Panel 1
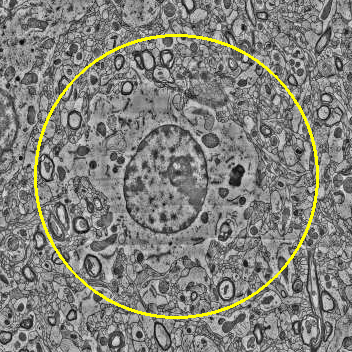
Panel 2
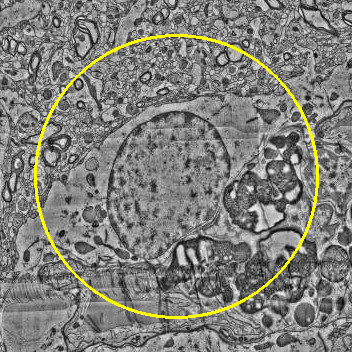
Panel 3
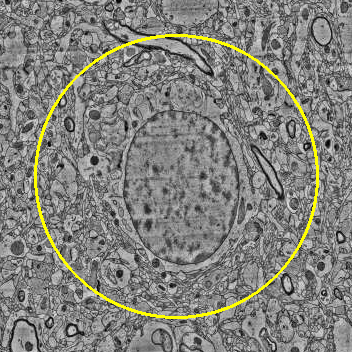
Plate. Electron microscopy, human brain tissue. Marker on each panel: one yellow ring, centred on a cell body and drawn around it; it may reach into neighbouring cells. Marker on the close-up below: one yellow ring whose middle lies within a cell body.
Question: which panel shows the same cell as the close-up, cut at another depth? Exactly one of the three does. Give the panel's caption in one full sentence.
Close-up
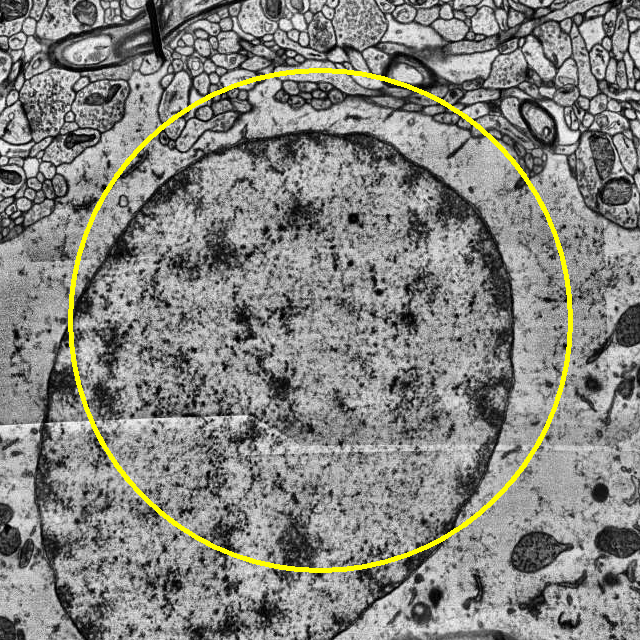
The close-up singles out the cell ringed in Panel 2.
